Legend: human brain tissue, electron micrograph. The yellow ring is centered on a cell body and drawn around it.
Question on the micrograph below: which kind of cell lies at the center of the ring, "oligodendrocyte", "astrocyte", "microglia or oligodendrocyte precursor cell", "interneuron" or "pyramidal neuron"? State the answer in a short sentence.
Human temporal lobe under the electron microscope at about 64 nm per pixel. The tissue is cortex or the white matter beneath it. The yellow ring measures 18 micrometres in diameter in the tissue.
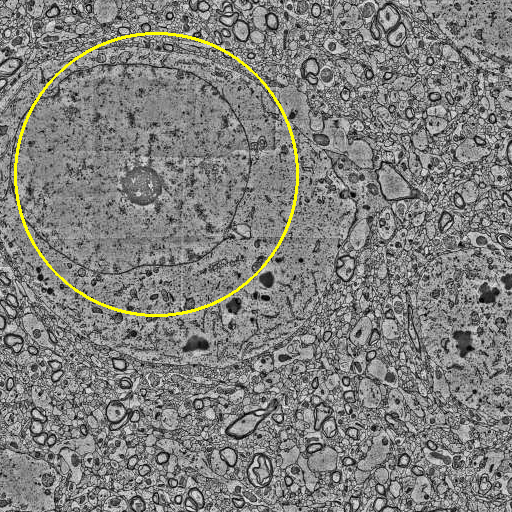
At the center of the ring lies a pyramidal neuron.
